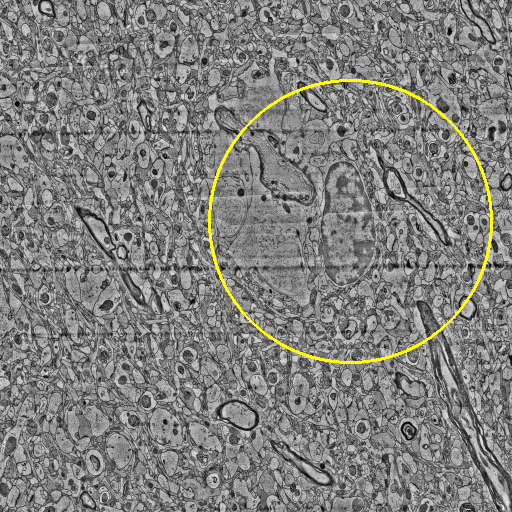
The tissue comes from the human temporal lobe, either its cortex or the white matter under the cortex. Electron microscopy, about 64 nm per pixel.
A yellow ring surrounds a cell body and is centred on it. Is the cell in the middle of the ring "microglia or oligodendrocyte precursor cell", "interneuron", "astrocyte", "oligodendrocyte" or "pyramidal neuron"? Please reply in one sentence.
The ring is centred on a microglial cell or oligodendrocyte precursor cell.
